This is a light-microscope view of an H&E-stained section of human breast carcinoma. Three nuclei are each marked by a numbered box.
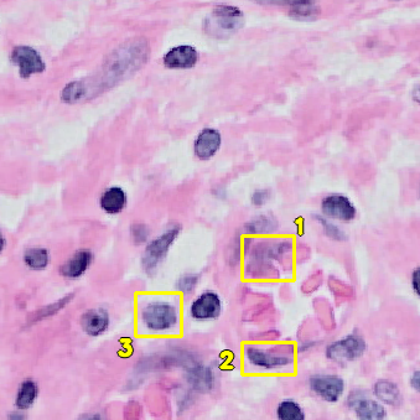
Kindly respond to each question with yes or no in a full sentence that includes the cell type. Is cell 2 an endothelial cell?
Yes, regarding number 2, the cell is an endothelial cell.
